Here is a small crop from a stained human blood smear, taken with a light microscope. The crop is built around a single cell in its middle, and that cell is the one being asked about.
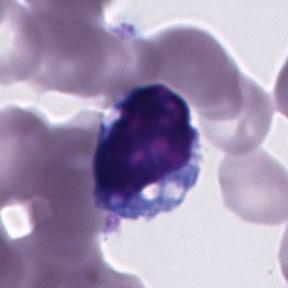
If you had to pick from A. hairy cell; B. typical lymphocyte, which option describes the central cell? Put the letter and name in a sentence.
The middle cell of the crop is a typical lymphocyte; accordingly, option B is correct.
